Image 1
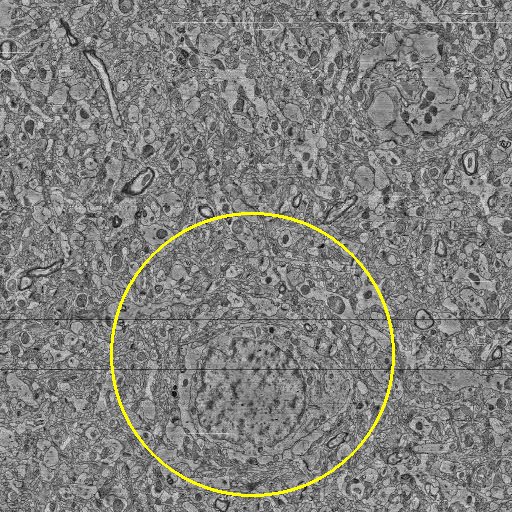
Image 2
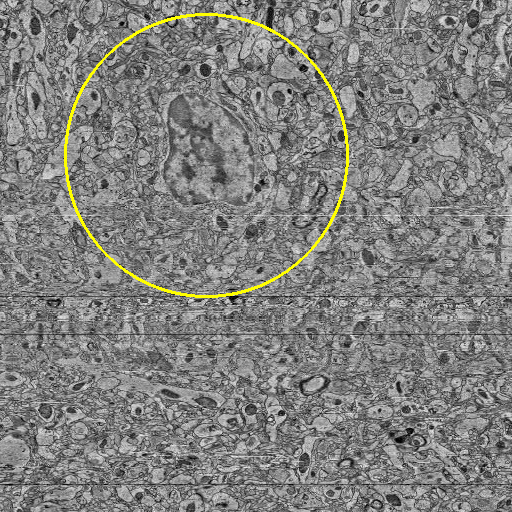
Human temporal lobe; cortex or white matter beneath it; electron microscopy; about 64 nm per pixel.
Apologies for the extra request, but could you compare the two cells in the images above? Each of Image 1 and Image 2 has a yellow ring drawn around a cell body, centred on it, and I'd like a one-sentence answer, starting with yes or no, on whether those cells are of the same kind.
No, the two cells are of two kinds.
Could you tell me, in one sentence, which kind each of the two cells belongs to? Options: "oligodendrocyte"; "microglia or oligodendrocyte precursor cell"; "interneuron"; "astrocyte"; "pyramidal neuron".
At the centre of the first ring sits an interneuron, and at the centre of the second sits a microglial cell or oligodendrocyte precursor cell.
